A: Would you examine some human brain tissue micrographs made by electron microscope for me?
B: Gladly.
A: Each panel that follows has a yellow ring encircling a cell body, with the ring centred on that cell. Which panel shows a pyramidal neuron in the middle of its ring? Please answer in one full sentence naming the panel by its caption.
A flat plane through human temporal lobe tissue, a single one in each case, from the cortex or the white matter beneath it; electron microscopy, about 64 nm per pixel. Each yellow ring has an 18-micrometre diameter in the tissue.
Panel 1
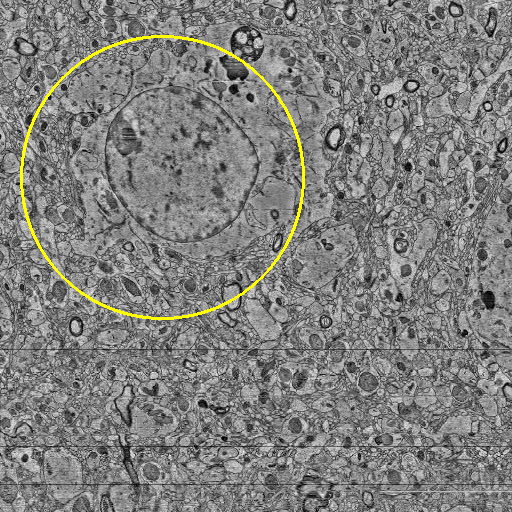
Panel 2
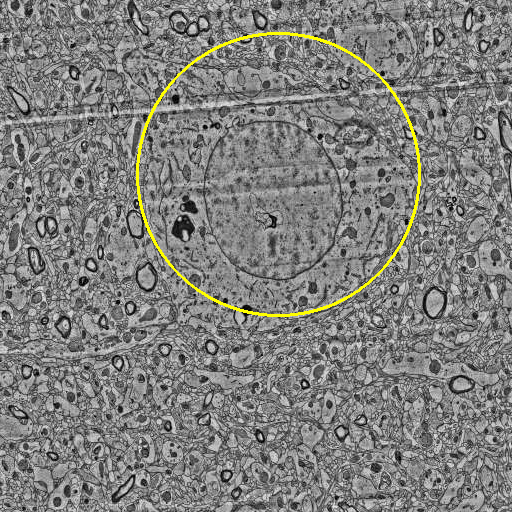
Panel 2 is where the ring sits centred on the requested cell.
